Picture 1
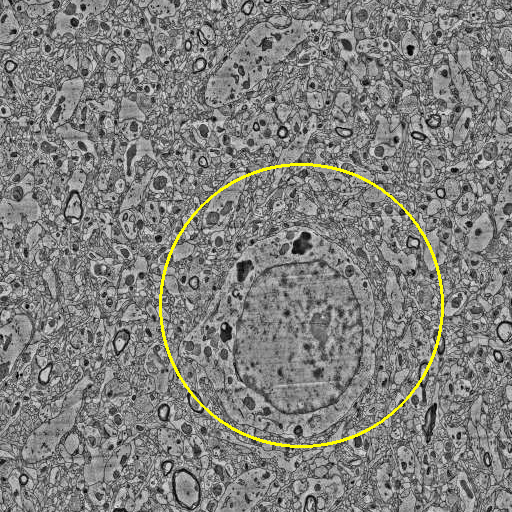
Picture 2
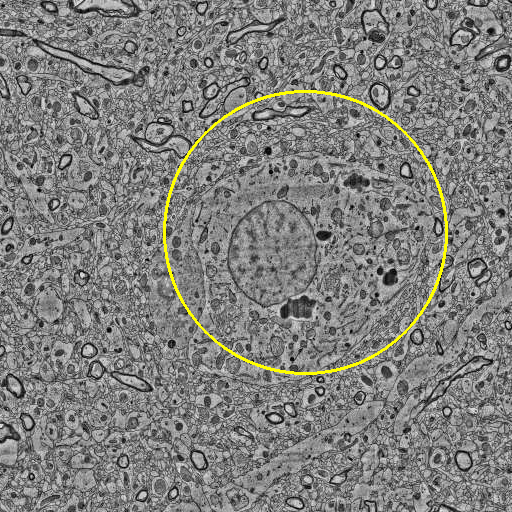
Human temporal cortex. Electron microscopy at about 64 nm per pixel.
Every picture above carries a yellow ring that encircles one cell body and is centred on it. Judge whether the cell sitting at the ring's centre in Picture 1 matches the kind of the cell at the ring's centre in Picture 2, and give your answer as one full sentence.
Yes, the cells centred in the rings of Pictures 1 and 2 belong to one kind.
